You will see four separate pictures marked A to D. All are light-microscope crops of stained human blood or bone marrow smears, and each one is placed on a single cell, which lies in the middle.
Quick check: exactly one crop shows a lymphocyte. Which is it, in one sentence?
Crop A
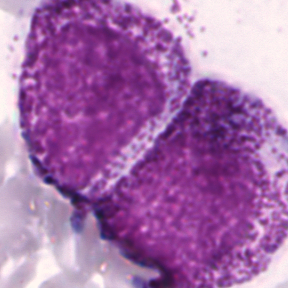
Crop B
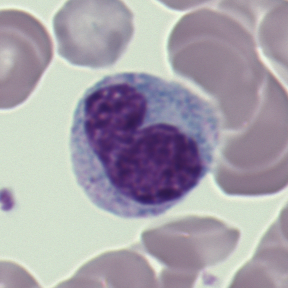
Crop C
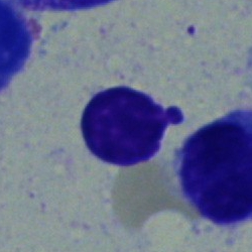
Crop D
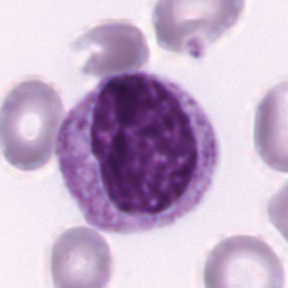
Among all the crops given here, the one with a lymphocyte is crop C.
